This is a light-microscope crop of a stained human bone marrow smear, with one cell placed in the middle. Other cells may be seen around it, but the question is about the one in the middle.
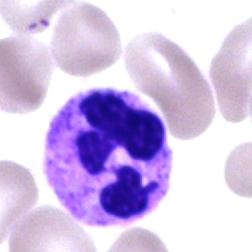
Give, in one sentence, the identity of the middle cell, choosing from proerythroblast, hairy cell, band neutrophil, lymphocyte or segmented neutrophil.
The middle position in this crop is taken by a segmented neutrophil.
